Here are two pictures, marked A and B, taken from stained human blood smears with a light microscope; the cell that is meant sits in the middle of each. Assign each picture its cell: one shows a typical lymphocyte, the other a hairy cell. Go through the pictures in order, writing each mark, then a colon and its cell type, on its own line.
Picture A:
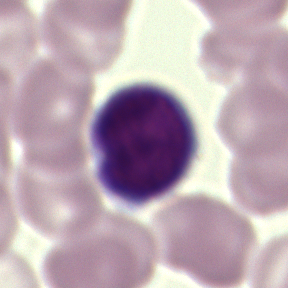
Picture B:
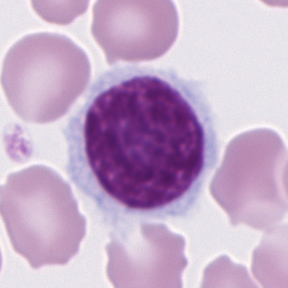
A: typical lymphocyte
B: hairy cell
